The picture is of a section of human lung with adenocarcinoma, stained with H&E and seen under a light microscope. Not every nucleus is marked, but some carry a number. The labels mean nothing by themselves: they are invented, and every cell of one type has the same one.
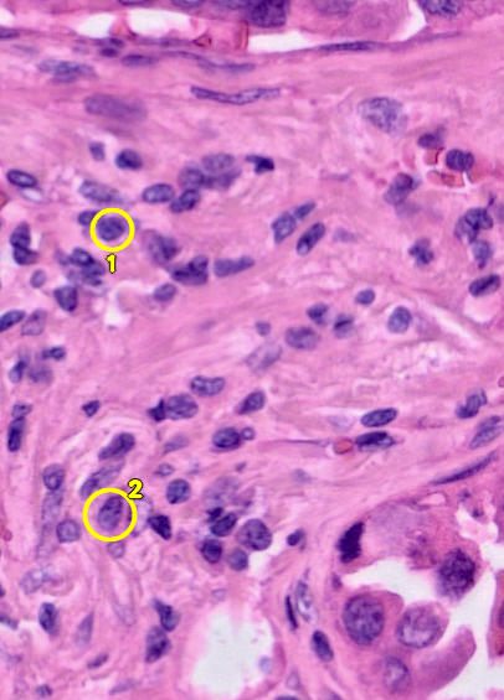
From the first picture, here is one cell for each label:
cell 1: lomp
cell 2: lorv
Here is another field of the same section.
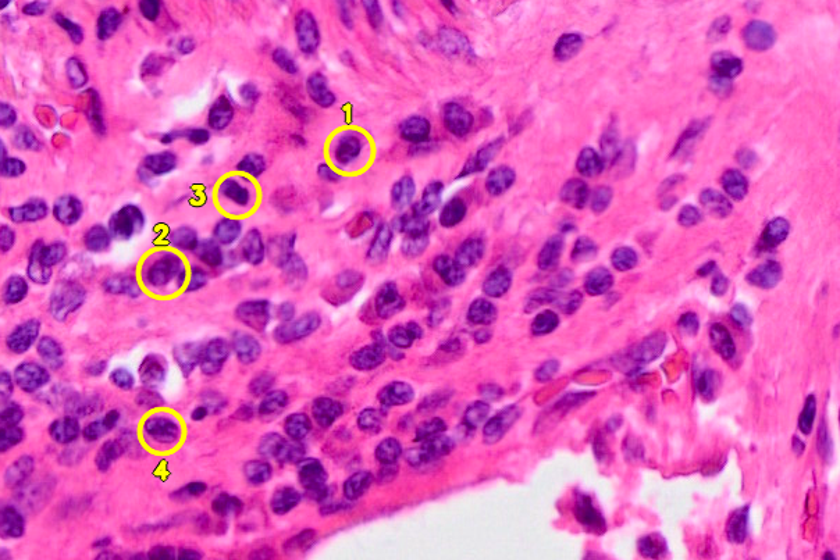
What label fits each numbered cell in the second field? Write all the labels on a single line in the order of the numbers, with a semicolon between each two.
lorv; lorv; lomp; lomp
